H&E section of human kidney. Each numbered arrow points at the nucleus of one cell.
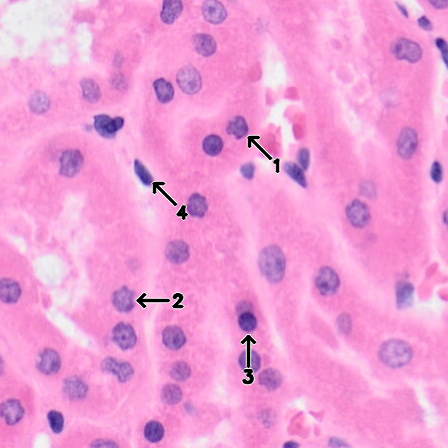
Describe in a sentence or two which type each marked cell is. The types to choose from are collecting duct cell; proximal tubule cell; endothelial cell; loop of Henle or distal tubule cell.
Cells 1, 2 and 3 are proximal tubule cells. Cell 4 is an endothelial cell.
